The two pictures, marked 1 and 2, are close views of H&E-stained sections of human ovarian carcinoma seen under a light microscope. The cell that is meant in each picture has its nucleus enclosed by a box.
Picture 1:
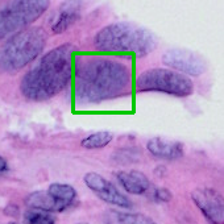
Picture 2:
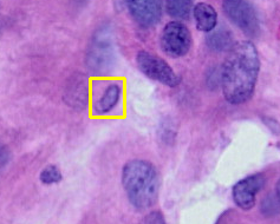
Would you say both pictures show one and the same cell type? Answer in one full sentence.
No; the cell in picture 1 is a carcinoma cell, while the one in picture 2 is a “macrophage or monocyte”.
